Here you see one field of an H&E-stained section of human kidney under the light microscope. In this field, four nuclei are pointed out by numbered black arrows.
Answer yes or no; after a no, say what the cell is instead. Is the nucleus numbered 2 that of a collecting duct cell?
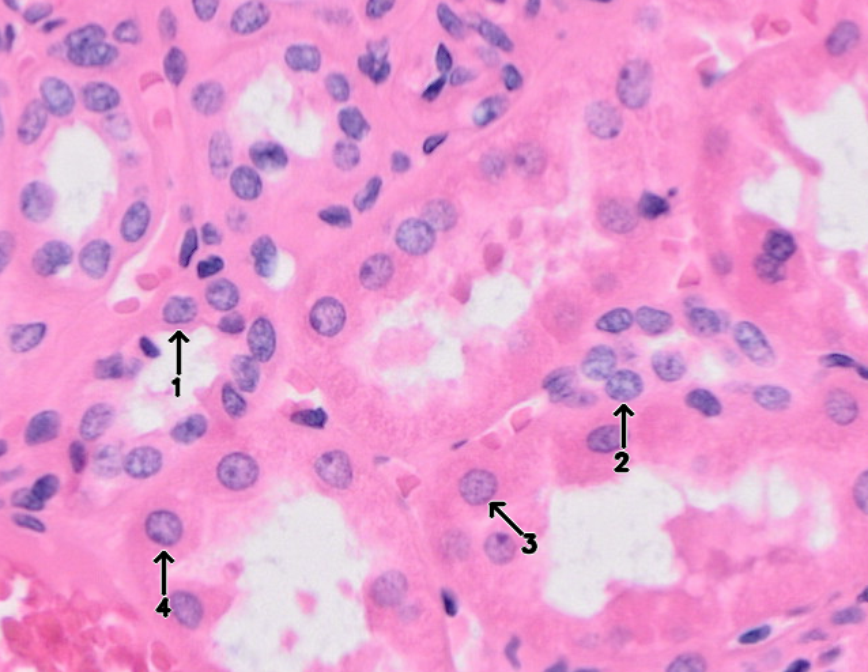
Yes.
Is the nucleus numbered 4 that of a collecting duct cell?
No, it is a proximal tubule cell.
